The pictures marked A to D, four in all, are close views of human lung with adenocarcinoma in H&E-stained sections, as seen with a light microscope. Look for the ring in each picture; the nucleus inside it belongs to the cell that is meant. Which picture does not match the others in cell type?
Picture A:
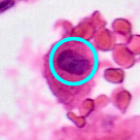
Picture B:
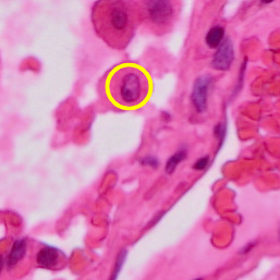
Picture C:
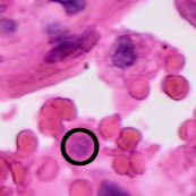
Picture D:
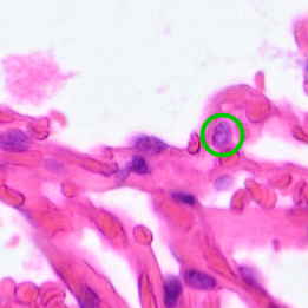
D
